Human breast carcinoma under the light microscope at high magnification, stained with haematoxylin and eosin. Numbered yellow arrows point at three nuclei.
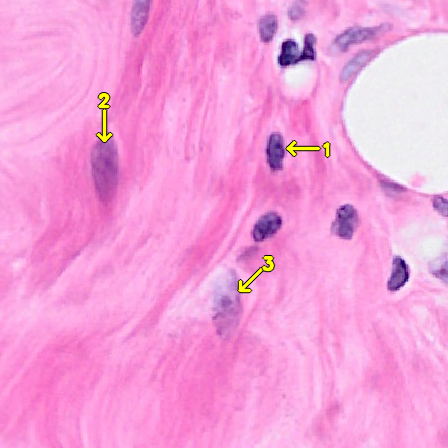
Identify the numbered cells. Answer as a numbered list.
1. lymphocyte
2. fibroblast
3. fibroblast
